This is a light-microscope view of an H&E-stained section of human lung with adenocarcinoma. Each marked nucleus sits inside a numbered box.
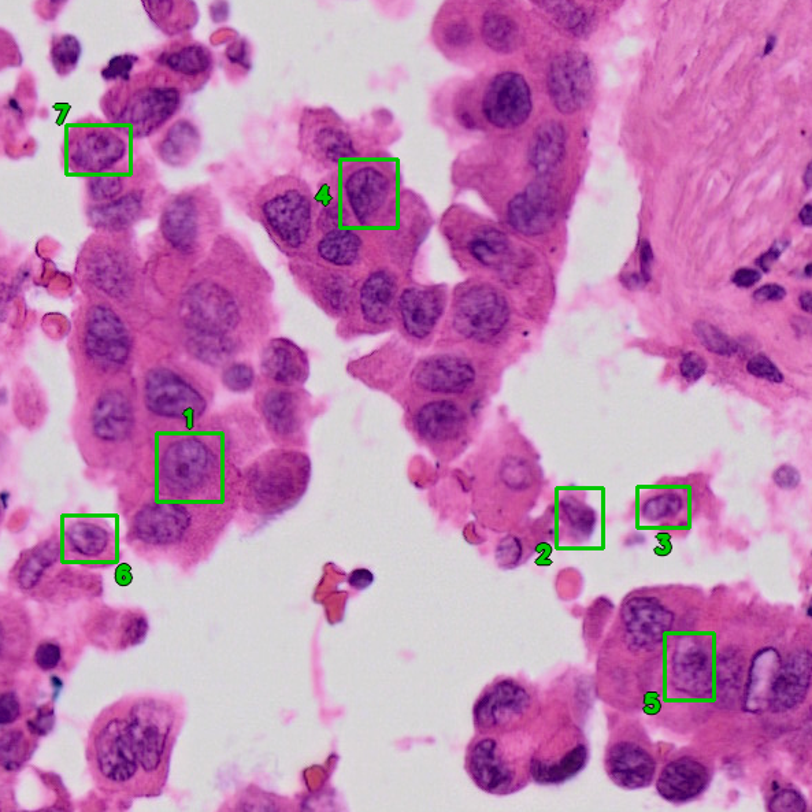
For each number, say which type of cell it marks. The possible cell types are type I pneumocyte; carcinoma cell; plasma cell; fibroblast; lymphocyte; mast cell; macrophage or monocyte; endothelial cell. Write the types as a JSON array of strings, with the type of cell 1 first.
["carcinoma cell", "macrophage or monocyte", "macrophage or monocyte", "carcinoma cell", "carcinoma cell", "macrophage or monocyte", "carcinoma cell"]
